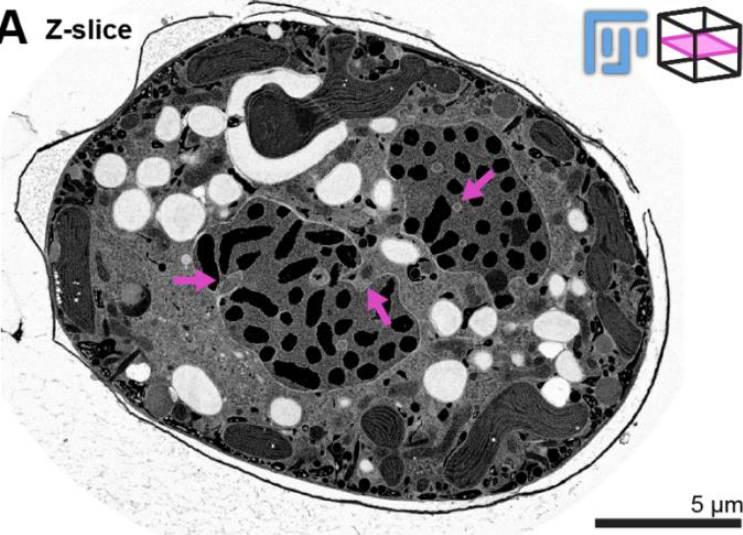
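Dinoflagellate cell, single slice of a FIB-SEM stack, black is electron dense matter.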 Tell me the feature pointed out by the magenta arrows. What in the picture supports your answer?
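Invaginations in the nuclear envelope. The arrows point at grey channels of cytoplasm-like material running into the nuclei. The channels lie between the black rod-shaped masses inside the nuclei.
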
